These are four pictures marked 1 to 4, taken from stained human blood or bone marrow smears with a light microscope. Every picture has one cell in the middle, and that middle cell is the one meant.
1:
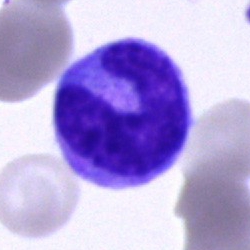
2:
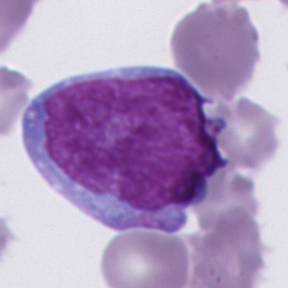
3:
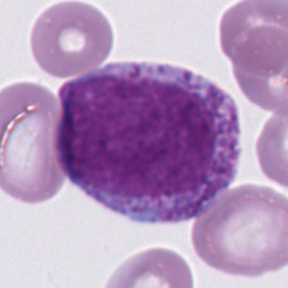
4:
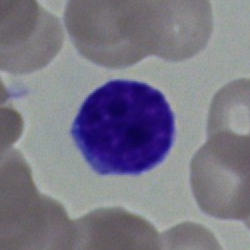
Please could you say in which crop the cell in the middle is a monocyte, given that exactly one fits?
1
